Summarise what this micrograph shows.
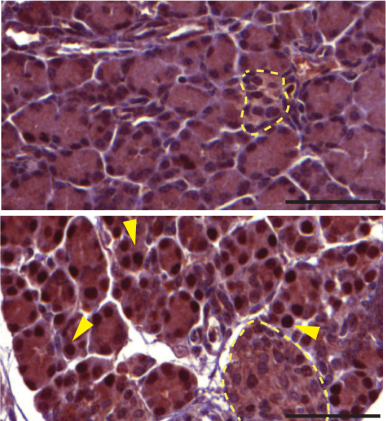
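Two sections of pancreas show exocrine acinar cells arranged in lobules, with an endocrine islet outlined in each. The acinar cells are large and pyramidal, with densely stained reddish-brown cytoplasm and round nuclei, grouped in clusters separated by thin pale spaces and delicate connective tissue with blue nuclei. The islets are compact groups of smaller, paler cells with closely set nuclei. In the upper section the acinar nuclei appear mostly bluish. In the lower section many acinar nuclei are dark brown, several marked by yellow arrowheads, while the islet cells stay pale.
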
